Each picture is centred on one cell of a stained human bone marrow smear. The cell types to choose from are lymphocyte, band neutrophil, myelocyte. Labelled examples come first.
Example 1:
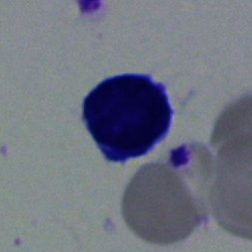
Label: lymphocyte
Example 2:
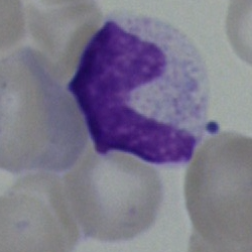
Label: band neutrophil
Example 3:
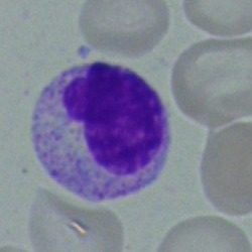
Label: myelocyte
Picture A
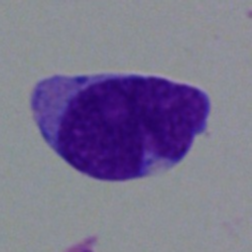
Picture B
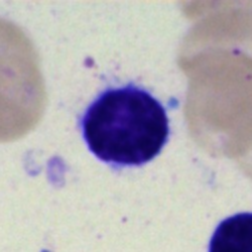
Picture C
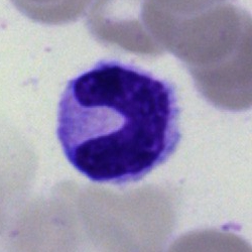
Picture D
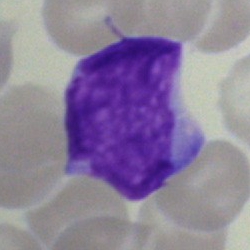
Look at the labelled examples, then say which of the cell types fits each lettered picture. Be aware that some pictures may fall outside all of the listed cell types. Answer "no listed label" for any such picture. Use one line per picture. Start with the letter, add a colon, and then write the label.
A: no listed label
B: lymphocyte
C: band neutrophil
D: no listed label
